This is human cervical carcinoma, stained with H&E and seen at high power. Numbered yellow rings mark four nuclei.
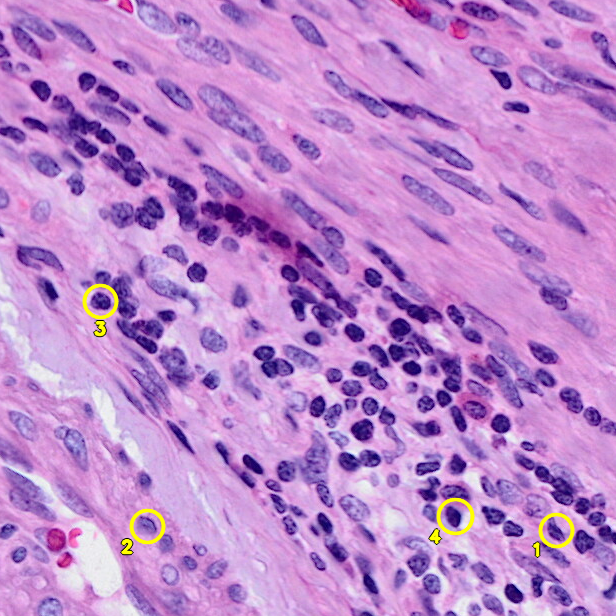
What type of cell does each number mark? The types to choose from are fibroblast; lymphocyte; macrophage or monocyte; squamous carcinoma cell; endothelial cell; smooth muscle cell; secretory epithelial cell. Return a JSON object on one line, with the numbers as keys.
{"1": "lymphocyte", "2": "smooth muscle cell", "3": "lymphocyte", "4": "lymphocyte"}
